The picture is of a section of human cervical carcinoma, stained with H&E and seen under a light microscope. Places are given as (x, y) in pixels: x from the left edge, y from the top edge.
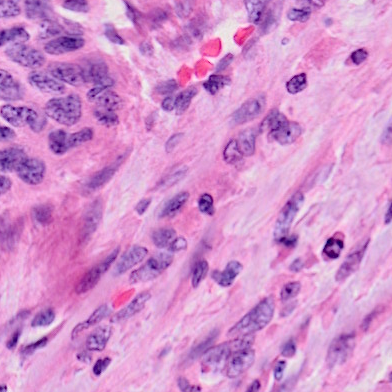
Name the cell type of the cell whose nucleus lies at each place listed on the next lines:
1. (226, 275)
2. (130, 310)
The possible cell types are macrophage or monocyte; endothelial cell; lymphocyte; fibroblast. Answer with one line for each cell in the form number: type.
1: lymphocyte
2: endothelial cell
